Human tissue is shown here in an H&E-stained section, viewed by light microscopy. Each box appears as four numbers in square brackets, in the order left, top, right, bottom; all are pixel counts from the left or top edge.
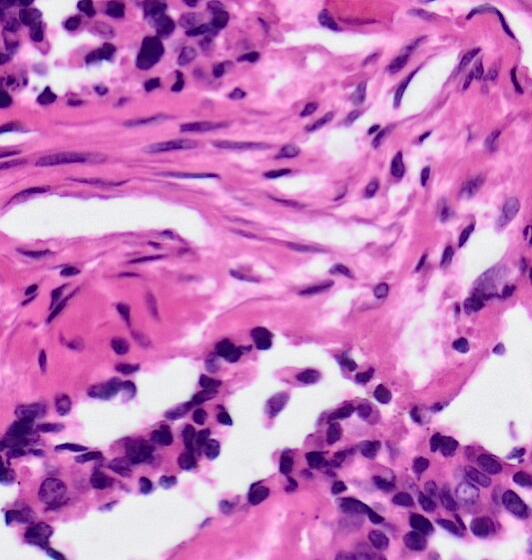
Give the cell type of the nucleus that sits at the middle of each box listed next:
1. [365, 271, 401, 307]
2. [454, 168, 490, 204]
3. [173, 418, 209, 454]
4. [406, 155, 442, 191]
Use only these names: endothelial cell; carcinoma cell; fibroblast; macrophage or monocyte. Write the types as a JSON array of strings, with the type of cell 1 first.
["fibroblast", "fibroblast", "carcinoma cell", "fibroblast"]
